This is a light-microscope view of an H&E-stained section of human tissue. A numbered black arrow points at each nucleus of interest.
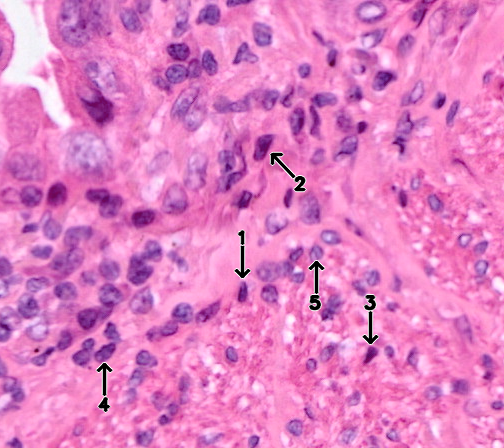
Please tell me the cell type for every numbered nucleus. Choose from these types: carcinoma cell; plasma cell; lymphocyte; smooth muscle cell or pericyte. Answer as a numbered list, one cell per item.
1. smooth muscle cell or pericyte
2. plasma cell
3. smooth muscle cell or pericyte
4. lymphocyte
5. smooth muscle cell or pericyte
